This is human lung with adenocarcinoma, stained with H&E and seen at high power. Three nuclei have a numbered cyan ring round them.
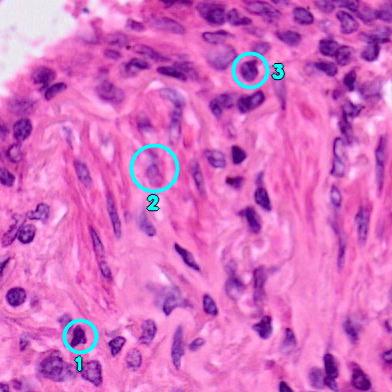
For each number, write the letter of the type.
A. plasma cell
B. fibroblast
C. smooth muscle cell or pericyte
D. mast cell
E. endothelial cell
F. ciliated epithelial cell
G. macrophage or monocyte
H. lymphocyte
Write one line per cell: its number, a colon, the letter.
1: H
2: C
3: H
